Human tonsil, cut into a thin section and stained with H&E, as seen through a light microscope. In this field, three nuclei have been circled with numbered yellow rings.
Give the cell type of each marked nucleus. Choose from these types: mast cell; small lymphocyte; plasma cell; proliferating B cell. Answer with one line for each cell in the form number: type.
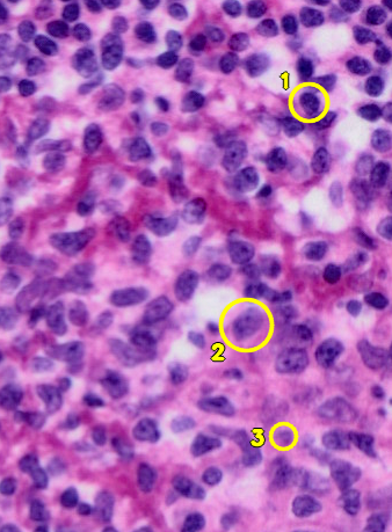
1: small lymphocyte
2: proliferating B cell
3: proliferating B cell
